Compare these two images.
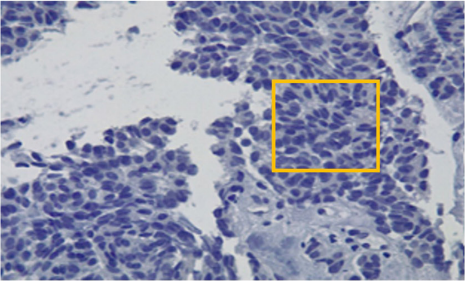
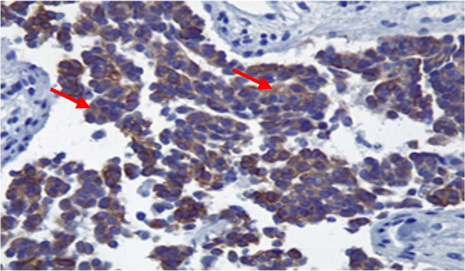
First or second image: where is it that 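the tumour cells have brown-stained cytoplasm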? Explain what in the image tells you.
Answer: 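The second image. Second image: clusters of tumour cells show brown cytoplasm around blue nuclei. First image: tumour cells show only blue nuclei with pale unstained cytoplasm.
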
